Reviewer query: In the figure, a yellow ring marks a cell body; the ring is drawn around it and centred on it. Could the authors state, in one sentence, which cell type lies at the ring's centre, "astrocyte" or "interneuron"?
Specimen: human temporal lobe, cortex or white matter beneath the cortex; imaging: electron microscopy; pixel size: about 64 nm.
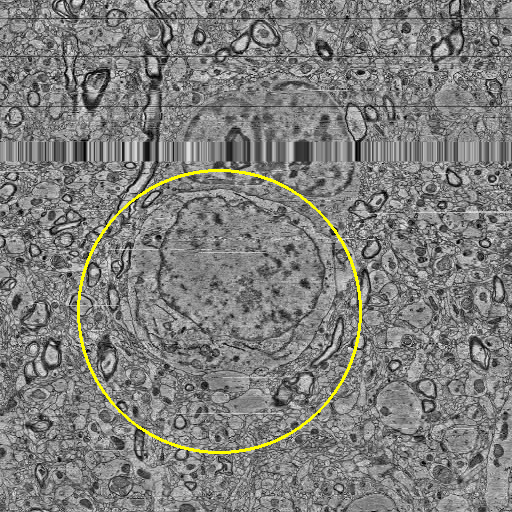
The ring is centred on an interneuron.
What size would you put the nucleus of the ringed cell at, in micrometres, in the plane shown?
In this plane the nucleus is about 11 micrometres by 9.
